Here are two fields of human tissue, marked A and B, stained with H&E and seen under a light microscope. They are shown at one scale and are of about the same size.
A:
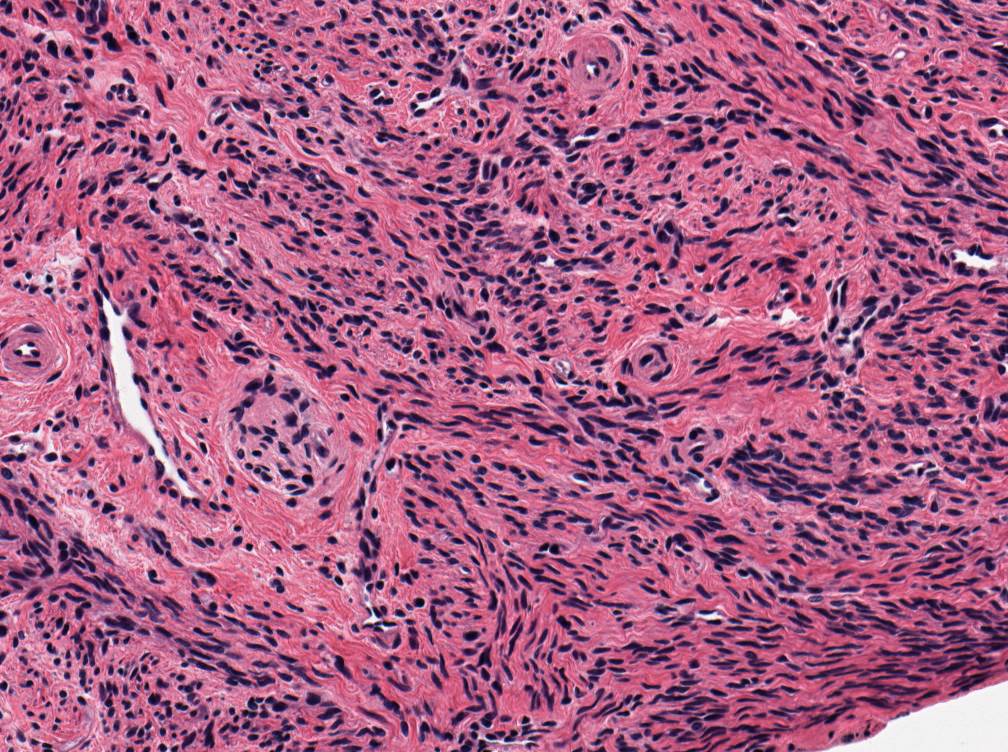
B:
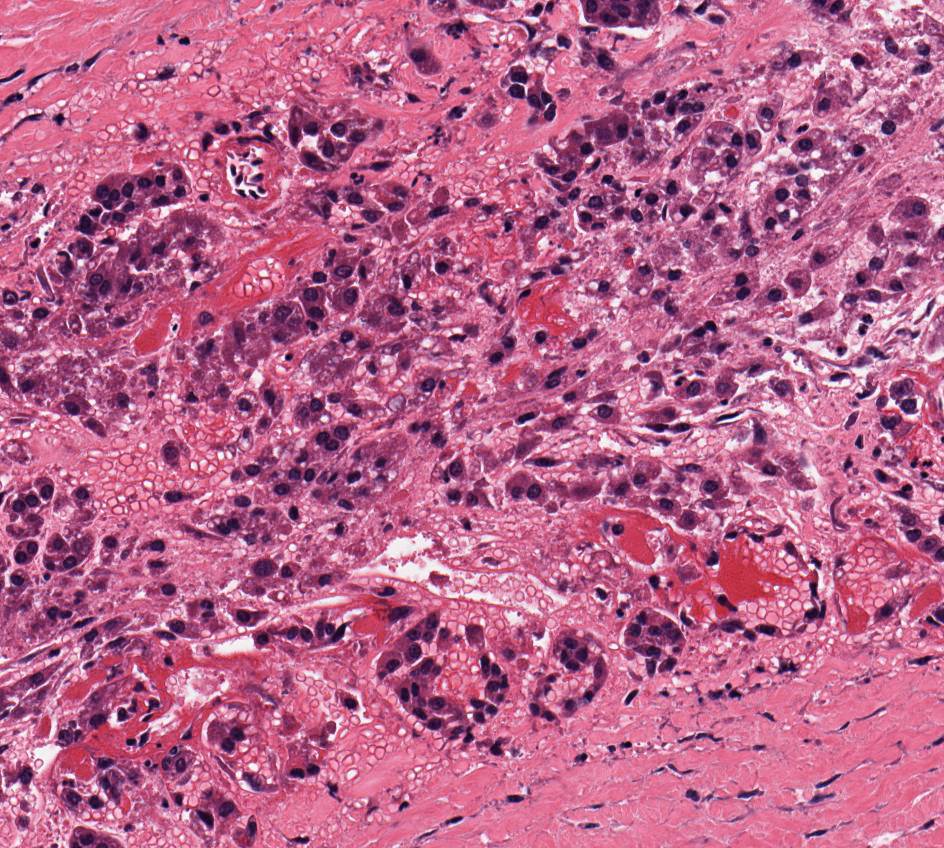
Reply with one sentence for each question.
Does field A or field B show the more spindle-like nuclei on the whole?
On the whole the nuclei of field A are more drawn out than those of field B.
